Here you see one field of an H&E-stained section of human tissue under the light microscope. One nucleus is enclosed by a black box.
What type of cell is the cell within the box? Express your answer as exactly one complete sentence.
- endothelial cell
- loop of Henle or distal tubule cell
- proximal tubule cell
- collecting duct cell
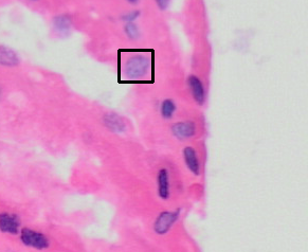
Microscopically, the cell within the box is categorized as a loop of Henle or distal tubule cell.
